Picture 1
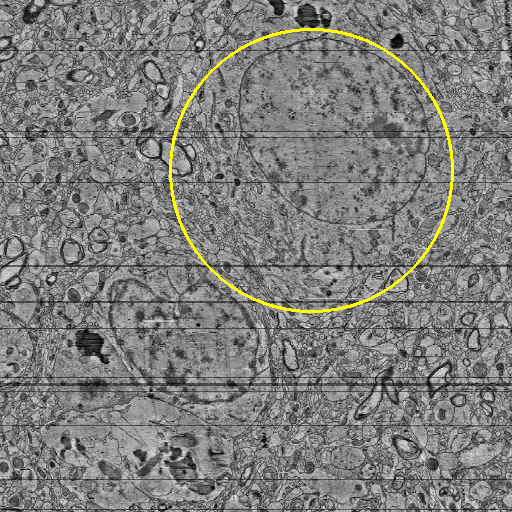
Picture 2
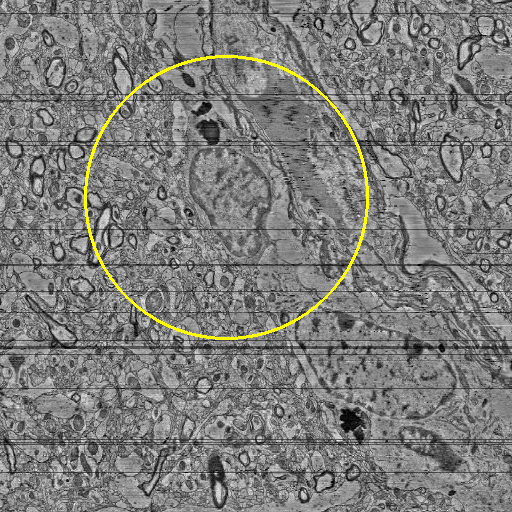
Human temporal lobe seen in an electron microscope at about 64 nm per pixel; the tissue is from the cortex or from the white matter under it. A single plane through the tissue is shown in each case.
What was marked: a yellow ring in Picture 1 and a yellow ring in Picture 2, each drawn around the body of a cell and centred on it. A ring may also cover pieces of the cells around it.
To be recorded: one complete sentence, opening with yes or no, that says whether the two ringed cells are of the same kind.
No, the two ringed cells are of two kinds.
